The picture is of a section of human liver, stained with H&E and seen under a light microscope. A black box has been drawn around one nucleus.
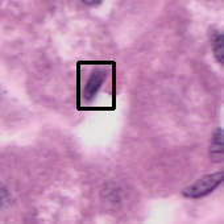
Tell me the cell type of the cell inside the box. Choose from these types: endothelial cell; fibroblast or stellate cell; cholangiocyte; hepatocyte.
fibroblast or stellate cell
